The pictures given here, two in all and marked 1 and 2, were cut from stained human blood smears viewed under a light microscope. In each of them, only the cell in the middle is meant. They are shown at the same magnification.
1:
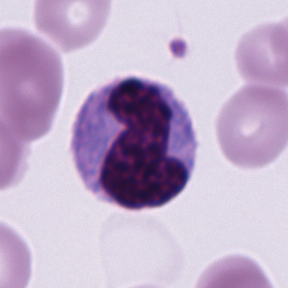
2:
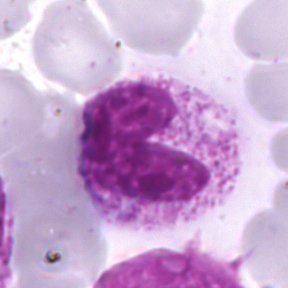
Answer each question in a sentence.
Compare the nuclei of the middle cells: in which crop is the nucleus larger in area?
The nucleus in crop 2 is larger, with about 1.5 times the area of the one in crop 1.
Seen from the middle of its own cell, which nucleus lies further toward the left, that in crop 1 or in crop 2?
The nucleus in crop 2 lies further toward the left of its cell.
